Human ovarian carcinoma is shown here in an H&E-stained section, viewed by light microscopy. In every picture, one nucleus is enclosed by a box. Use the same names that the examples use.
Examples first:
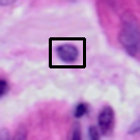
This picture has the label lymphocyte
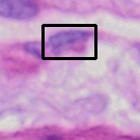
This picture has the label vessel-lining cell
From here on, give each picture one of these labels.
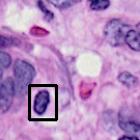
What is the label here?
lymphocyte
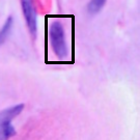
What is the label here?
vessel-lining cell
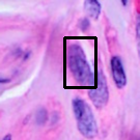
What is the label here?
vessel-lining cell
